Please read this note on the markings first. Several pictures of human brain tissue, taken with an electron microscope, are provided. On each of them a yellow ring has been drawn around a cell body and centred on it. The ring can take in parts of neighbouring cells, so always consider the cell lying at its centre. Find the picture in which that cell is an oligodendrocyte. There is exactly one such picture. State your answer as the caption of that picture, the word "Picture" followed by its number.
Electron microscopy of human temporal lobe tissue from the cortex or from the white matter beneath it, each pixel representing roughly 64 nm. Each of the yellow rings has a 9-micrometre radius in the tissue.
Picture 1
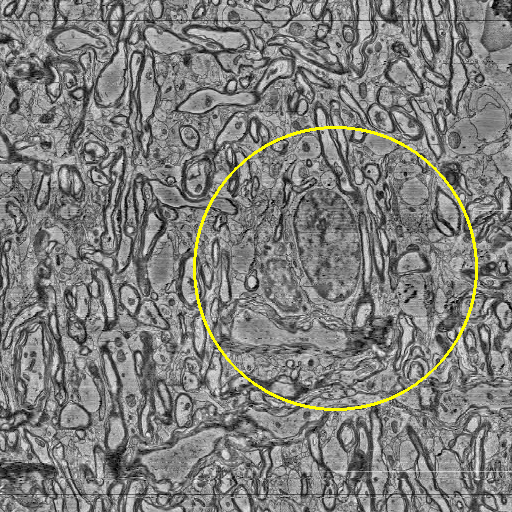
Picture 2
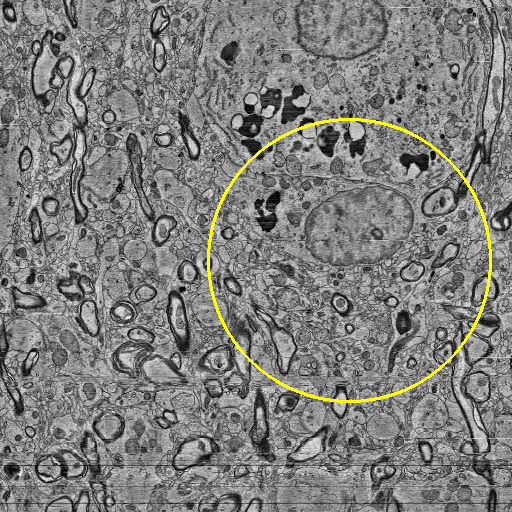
Picture 2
